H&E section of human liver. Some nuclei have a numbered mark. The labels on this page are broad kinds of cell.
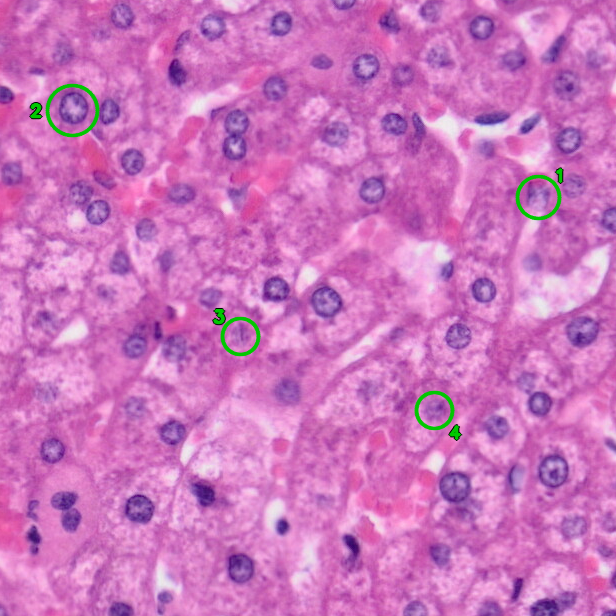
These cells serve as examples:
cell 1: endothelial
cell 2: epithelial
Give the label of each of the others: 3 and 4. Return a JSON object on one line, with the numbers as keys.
{"3": "epithelial", "4": "epithelial"}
